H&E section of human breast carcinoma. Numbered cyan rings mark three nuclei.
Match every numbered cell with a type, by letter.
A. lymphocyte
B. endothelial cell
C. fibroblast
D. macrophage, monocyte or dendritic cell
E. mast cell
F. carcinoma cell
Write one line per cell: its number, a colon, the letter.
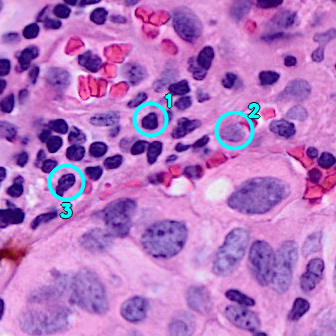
1: A
2: B
3: A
